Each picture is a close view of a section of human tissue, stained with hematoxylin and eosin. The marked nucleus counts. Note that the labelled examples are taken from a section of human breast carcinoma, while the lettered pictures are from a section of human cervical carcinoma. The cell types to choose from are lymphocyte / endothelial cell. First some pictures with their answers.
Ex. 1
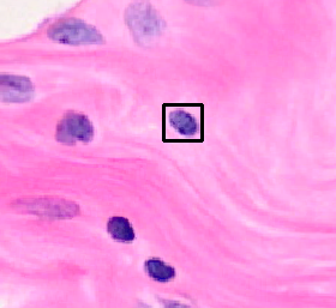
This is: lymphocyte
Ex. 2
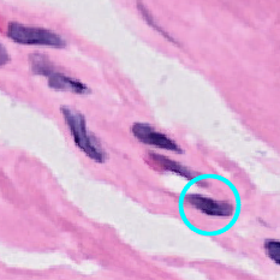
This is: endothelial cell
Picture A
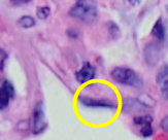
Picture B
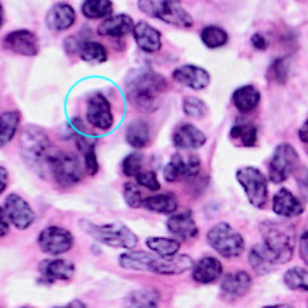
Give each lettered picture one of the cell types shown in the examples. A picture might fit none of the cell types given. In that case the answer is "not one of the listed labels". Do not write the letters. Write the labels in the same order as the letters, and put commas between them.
endothelial cell, lymphocyte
